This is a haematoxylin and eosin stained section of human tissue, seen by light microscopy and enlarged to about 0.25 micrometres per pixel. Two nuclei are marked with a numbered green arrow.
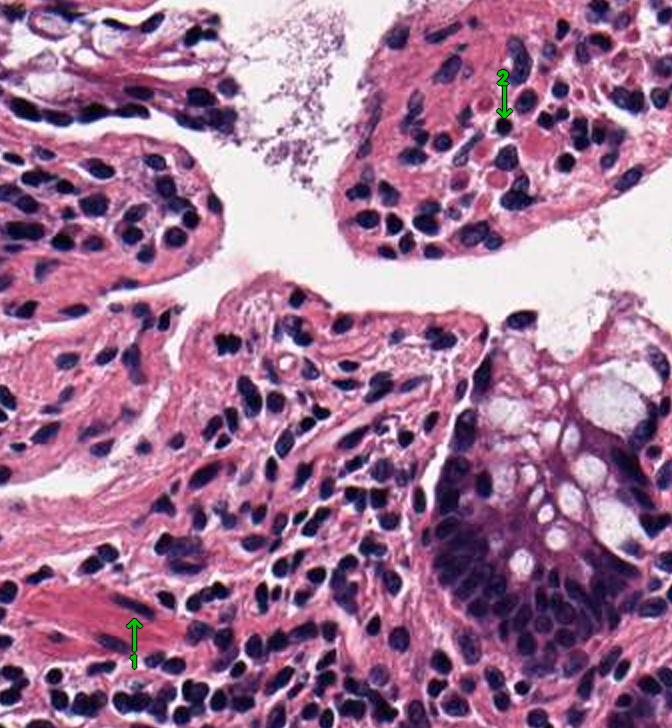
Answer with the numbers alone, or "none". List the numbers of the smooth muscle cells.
1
